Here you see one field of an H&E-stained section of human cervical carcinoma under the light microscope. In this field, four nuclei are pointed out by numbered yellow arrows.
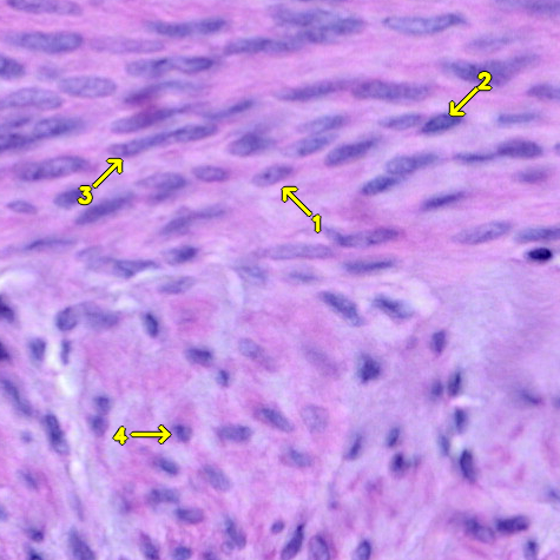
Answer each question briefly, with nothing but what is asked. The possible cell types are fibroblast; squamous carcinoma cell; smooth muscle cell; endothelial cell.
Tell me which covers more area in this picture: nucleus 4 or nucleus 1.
1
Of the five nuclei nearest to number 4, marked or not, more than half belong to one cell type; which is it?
smooth muscle cell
